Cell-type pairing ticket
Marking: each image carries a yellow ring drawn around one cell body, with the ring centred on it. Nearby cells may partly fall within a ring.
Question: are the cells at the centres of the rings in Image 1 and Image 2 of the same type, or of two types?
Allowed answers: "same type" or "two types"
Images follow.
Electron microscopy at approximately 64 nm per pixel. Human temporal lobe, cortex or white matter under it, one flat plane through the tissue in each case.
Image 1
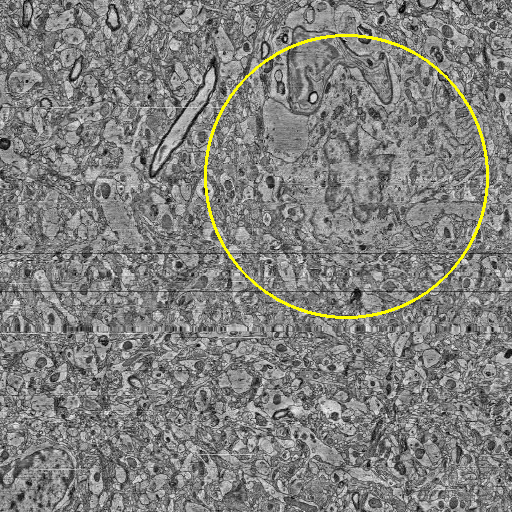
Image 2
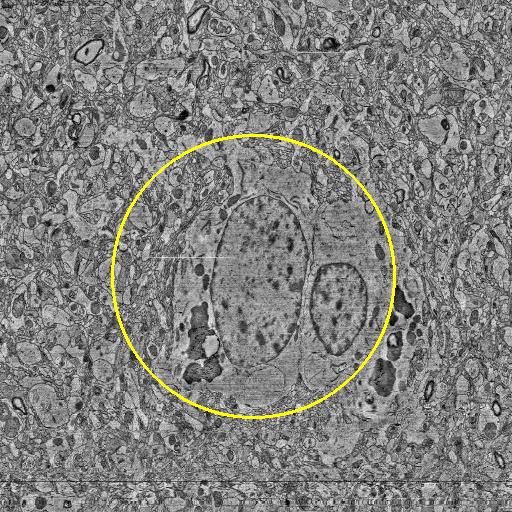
two types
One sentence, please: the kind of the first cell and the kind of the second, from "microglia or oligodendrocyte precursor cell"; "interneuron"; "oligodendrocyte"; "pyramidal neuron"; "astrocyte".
The ring in the first picture surrounds an interneuron, and the ring in the second surrounds an astrocyte.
